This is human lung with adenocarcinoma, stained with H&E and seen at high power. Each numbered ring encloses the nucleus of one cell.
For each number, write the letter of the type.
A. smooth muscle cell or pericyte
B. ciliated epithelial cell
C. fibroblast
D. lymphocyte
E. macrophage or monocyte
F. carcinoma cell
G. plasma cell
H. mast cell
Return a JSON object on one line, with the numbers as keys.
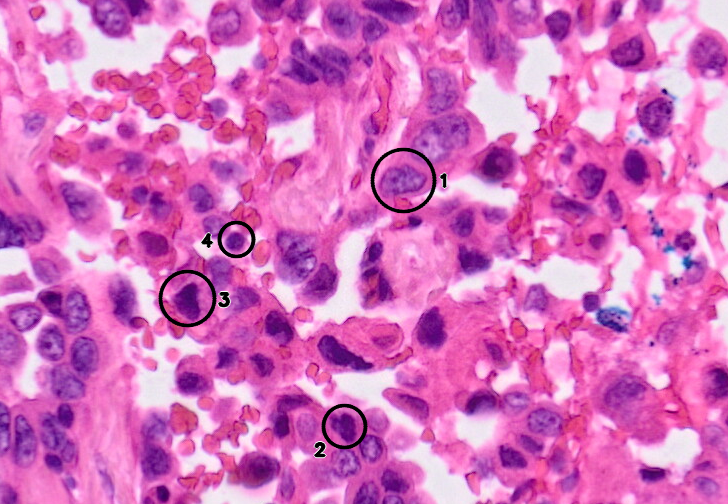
{"1": "F", "2": "F", "3": "F", "4": "D"}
